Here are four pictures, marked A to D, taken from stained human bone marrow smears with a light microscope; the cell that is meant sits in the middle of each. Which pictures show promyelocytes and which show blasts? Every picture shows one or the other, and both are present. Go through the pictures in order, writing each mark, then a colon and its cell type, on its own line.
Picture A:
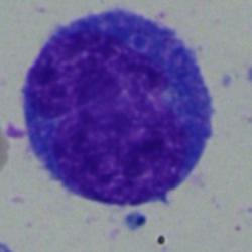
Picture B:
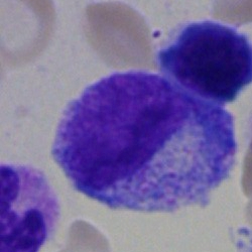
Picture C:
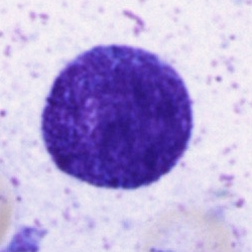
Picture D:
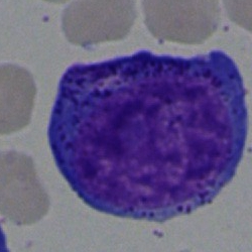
A: blast
B: promyelocyte
C: promyelocyte
D: promyelocyte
